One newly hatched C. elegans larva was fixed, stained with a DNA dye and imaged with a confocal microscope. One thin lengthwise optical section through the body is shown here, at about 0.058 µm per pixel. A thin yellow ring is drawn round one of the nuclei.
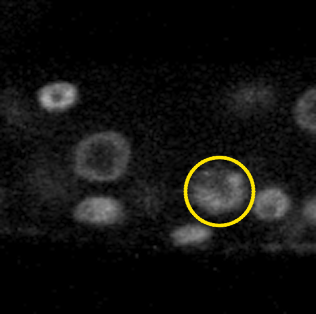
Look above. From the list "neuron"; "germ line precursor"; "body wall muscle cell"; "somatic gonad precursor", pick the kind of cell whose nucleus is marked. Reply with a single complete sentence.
The marked cell is a germ line precursor.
